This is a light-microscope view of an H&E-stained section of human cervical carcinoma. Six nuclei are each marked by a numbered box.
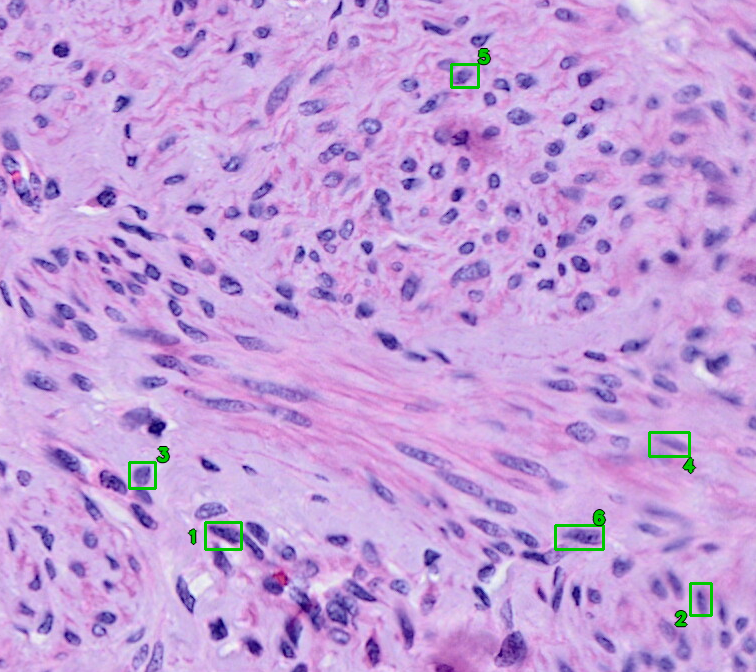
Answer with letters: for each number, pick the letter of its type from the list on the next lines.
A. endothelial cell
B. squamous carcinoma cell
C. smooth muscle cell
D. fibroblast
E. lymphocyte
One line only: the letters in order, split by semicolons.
A; C; D; C; C; D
